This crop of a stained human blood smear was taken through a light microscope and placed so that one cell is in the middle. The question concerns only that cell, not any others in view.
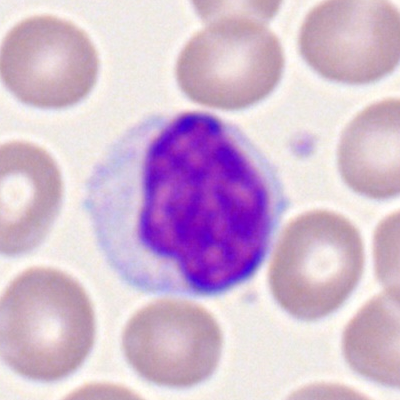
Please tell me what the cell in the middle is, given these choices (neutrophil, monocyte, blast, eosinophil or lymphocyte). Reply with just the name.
lymphocyte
